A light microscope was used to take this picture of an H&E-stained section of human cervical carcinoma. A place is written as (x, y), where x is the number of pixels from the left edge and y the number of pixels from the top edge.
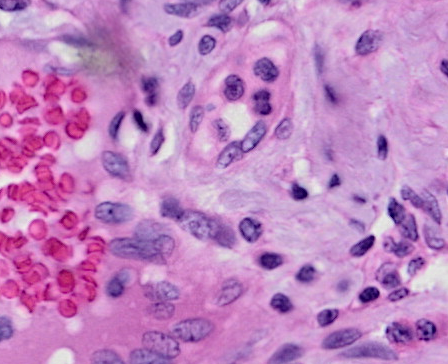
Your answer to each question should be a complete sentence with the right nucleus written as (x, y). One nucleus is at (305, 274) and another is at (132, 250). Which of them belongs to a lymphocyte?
Between the two nuclei, the one sitting at (305, 274) belongs to a lymphocyte.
